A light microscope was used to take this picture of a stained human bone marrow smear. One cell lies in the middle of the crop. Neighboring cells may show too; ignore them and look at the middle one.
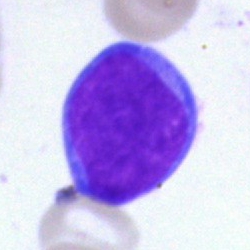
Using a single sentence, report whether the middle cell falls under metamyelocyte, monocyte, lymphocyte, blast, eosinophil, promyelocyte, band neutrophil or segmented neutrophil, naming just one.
In the middle of this smear crop, the cell is a blast.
